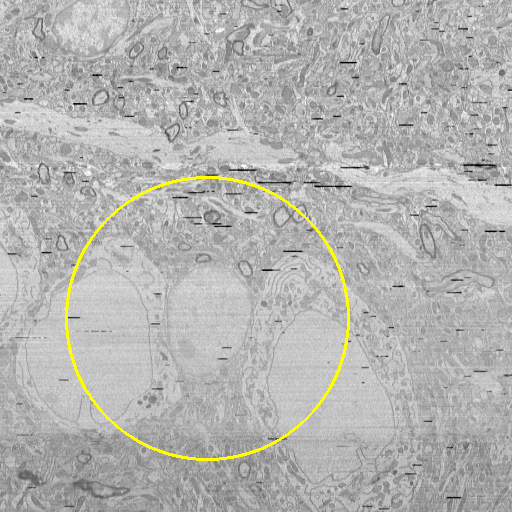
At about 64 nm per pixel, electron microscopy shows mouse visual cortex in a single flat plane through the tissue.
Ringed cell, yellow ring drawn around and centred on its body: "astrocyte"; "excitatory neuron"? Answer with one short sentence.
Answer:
This ringed cell is an astrocyte.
